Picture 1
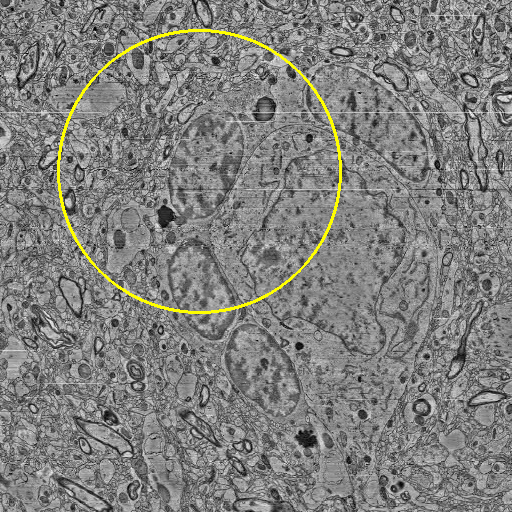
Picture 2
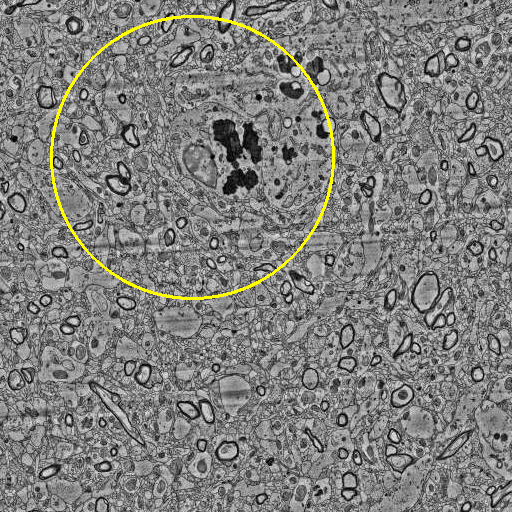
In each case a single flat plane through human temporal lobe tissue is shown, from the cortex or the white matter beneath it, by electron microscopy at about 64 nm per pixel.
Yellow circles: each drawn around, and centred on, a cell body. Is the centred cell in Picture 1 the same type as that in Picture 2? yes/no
yes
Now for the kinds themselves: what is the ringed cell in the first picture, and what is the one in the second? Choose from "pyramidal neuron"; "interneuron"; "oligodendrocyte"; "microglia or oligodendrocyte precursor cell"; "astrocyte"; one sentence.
Both cells are the same kind, each one being an oligodendrocyte.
